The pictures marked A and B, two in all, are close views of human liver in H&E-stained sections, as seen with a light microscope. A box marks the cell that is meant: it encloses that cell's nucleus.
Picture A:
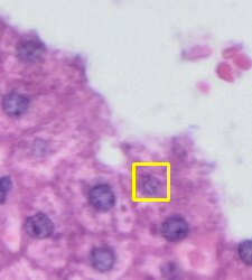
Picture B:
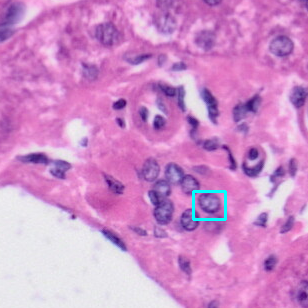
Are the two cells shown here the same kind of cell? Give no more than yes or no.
no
